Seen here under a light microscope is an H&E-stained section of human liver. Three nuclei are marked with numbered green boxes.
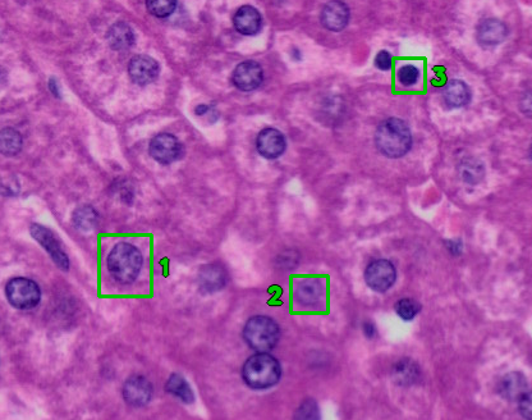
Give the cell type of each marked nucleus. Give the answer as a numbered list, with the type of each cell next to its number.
1. hepatocyte
2. hepatocyte
3. lymphocyte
